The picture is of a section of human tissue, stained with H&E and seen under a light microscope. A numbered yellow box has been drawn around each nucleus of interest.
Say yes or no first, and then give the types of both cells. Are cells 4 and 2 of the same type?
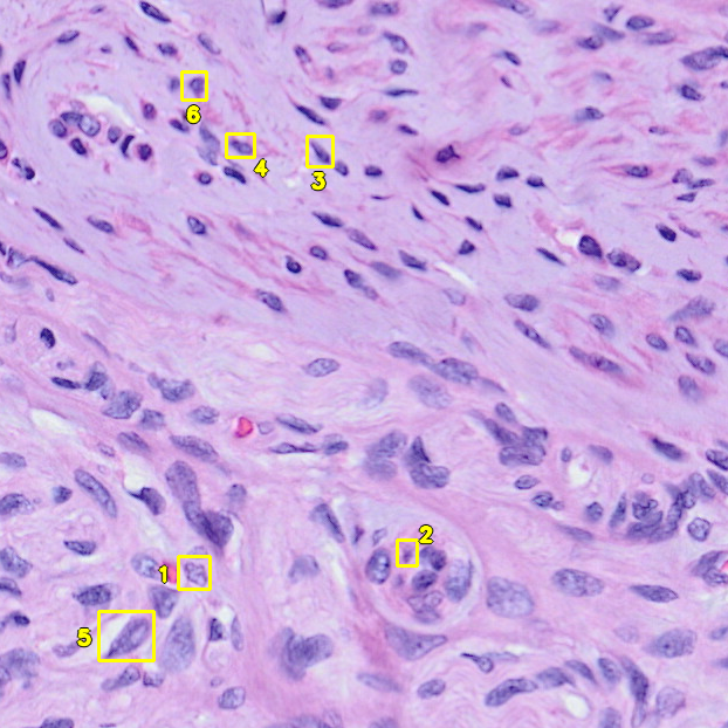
No, cell 4 is a smooth muscle cell, and cell 2, on the other hand, is an endothelial cell.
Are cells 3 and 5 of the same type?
No, cell 3 is a fibroblast, with cell 5 being an endothelial cell.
